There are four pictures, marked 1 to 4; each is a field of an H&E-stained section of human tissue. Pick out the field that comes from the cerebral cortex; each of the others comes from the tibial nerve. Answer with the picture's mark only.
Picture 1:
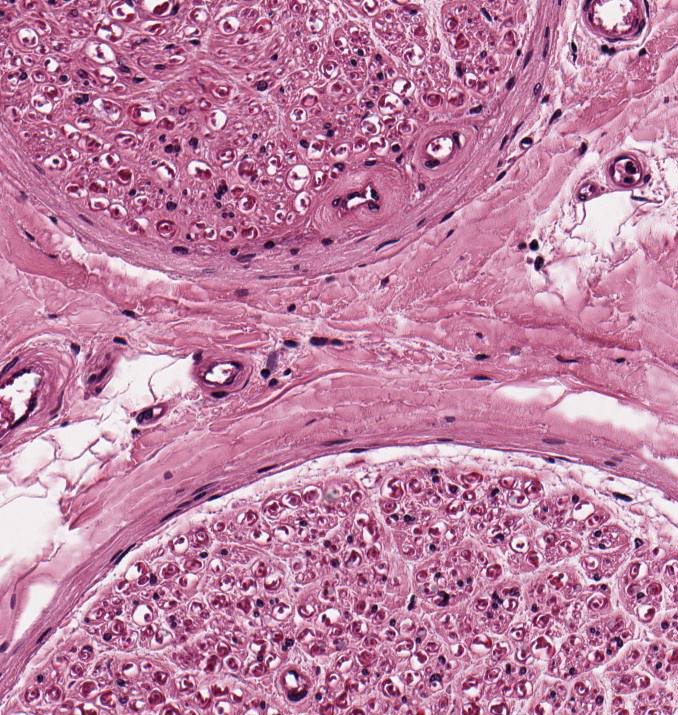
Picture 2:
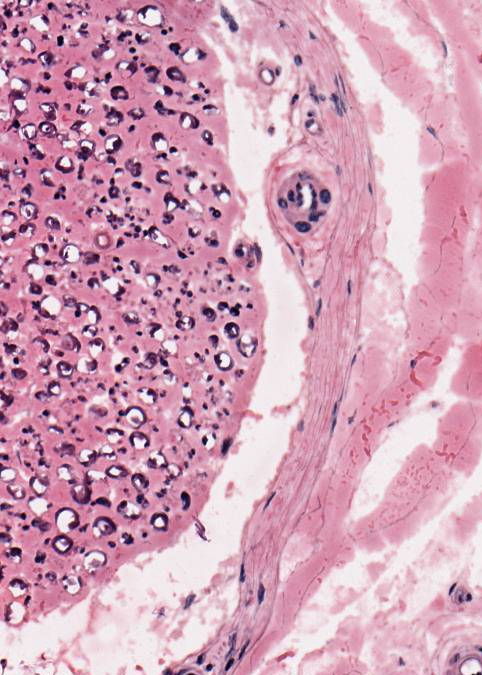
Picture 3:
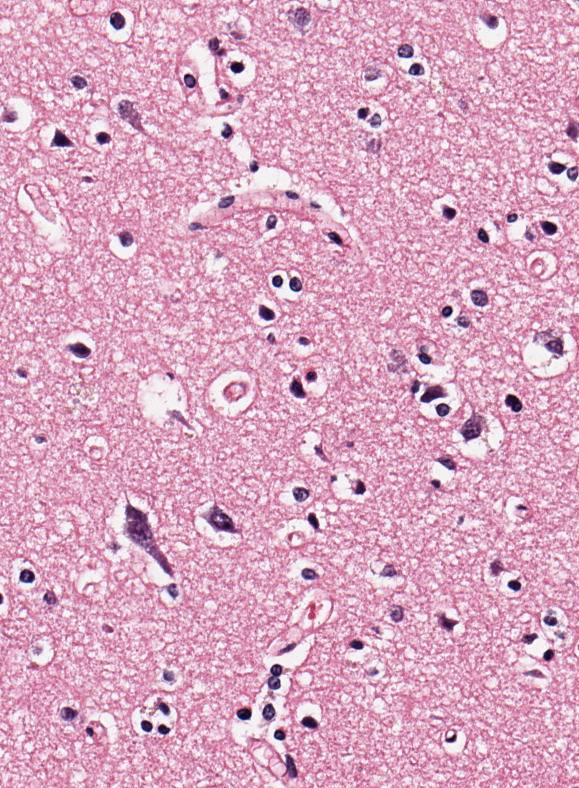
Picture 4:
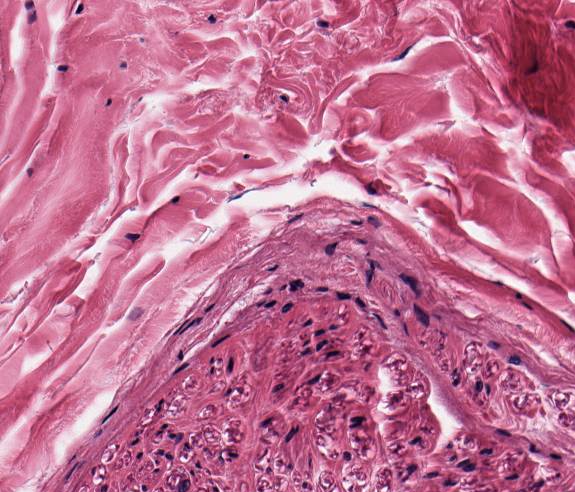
3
